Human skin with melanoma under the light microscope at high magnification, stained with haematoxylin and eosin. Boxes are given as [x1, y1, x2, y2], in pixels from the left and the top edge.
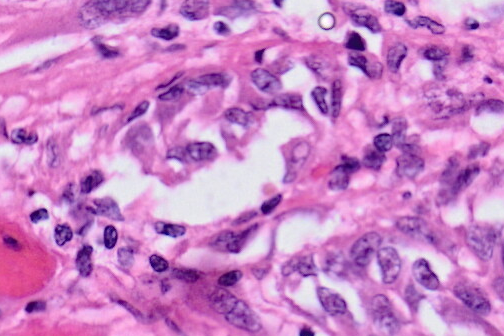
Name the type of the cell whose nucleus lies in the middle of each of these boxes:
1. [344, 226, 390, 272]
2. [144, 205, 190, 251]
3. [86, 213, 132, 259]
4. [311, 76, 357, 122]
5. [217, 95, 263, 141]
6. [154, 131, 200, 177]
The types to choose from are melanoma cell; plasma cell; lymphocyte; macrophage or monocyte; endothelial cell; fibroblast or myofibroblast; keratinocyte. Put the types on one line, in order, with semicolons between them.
melanoma cell; lymphocyte; lymphocyte; melanoma cell; melanoma cell; melanoma cell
